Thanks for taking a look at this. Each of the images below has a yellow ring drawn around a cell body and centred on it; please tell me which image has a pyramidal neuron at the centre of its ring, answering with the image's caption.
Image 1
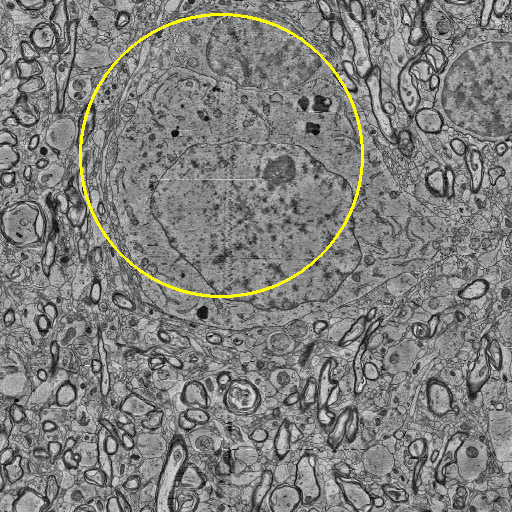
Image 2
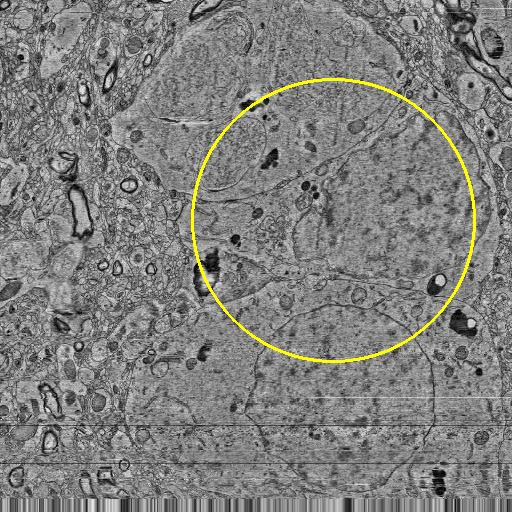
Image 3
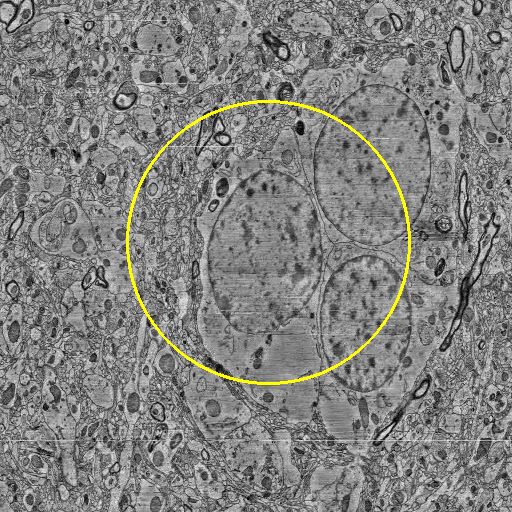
Image 1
